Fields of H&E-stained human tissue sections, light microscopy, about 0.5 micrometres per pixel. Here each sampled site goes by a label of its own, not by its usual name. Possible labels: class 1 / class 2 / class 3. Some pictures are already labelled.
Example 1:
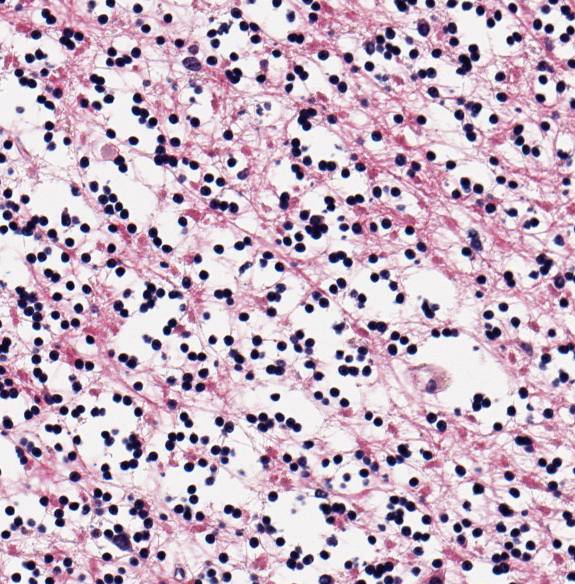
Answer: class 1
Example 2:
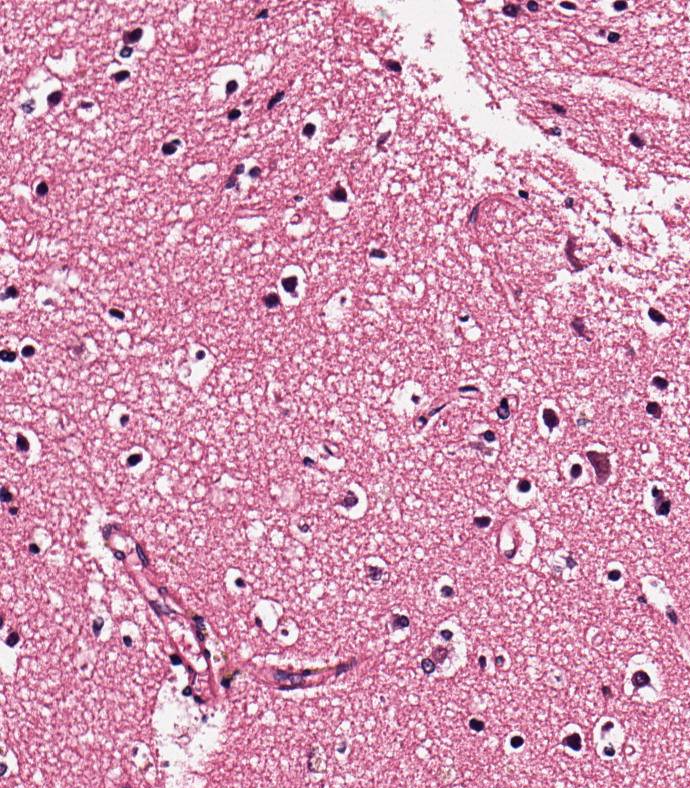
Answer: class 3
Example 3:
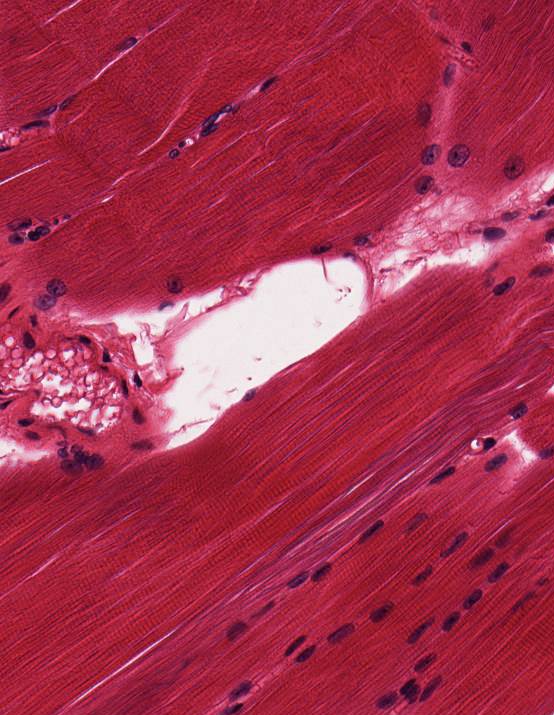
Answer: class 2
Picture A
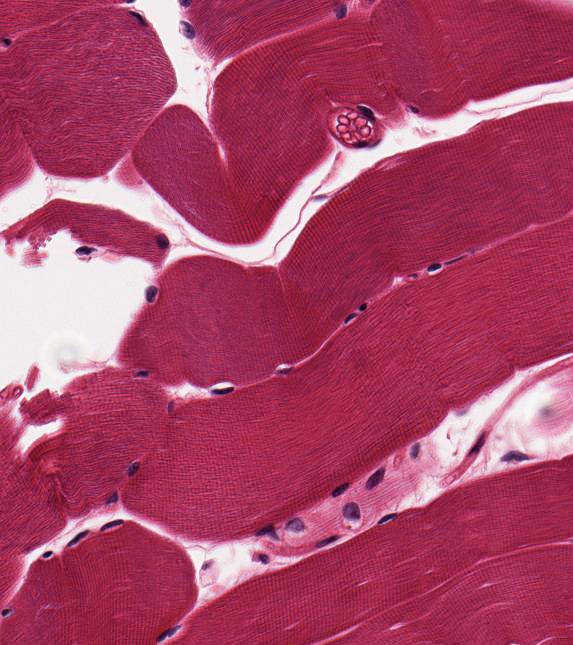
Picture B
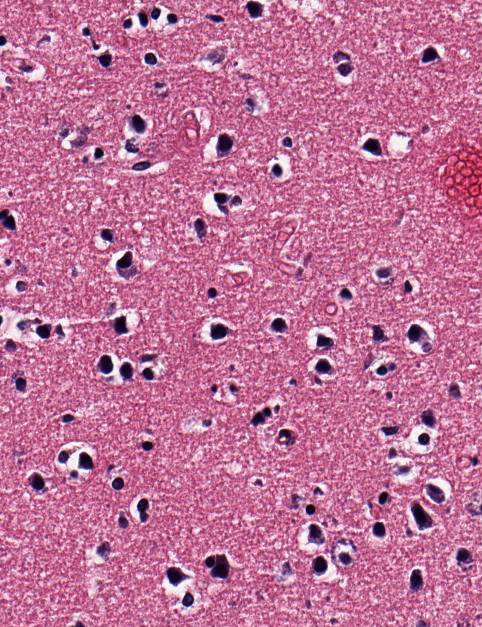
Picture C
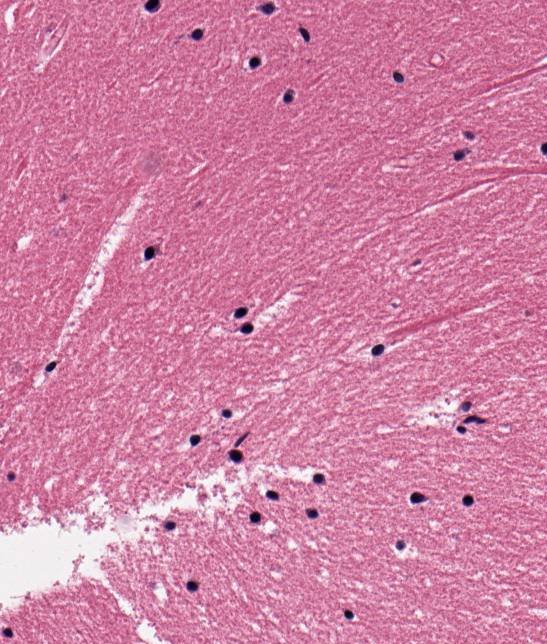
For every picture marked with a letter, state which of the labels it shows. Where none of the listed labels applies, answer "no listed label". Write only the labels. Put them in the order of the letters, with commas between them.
class 2, class 3, class 1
